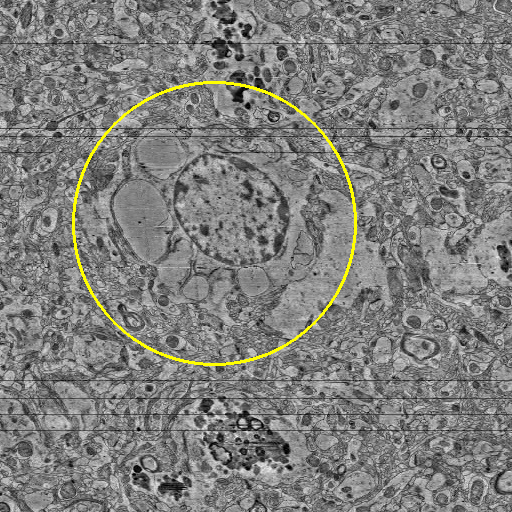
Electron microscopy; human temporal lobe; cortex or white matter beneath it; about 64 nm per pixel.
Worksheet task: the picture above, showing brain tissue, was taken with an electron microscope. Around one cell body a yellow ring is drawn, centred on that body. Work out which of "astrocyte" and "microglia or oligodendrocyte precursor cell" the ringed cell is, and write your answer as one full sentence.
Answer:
It is an astrocyte whose cell body lies at the centre of the yellow ring.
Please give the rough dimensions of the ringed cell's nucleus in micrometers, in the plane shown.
The ringed cell's nucleus is about 8 micrometres long and 6 micrometres wide in this plane.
